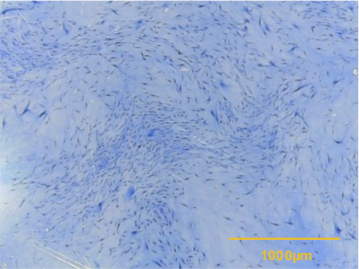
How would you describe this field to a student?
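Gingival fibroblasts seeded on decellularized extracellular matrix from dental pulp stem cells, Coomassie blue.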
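Many elongated spindle-shaped cells lie closely packed on this background. Across much of the field they run in roughly parallel streams.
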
